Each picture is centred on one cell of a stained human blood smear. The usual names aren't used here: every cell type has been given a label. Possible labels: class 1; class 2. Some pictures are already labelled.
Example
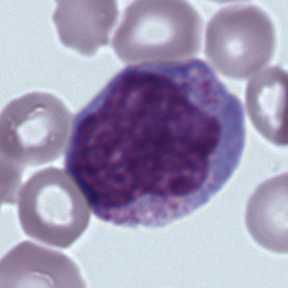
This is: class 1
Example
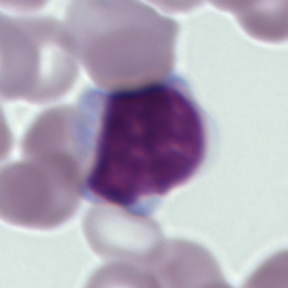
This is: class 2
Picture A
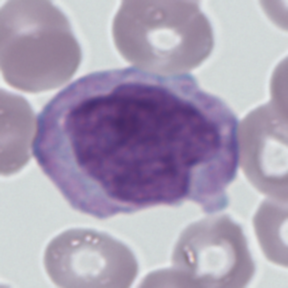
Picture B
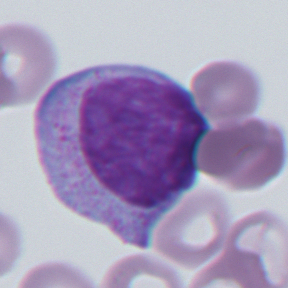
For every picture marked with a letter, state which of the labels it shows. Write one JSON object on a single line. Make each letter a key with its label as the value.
{"A": "class 1", "B": "class 1"}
